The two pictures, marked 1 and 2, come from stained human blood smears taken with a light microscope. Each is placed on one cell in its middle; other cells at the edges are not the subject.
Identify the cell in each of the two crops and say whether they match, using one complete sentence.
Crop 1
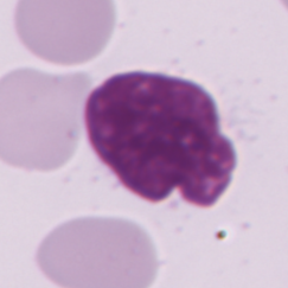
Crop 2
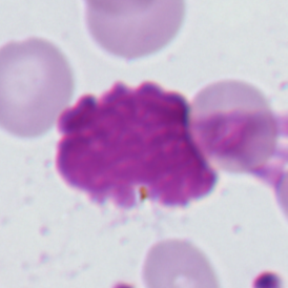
Yes, smudge cells are seen in both crops.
